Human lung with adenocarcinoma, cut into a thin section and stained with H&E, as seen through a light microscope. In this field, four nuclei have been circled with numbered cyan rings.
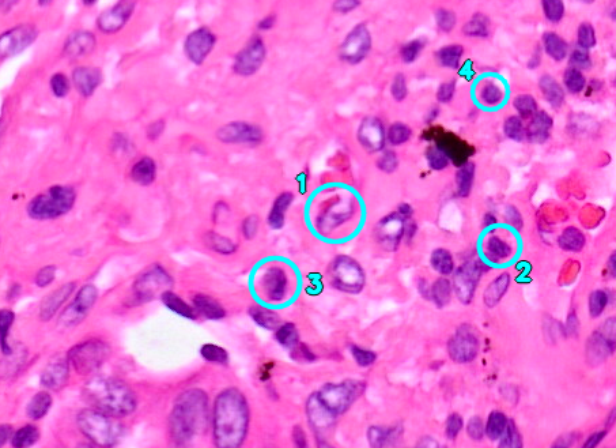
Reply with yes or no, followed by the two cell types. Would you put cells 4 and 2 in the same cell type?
Yes, among the marked cells, numbers 4 and 2 are both lymphocytes.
